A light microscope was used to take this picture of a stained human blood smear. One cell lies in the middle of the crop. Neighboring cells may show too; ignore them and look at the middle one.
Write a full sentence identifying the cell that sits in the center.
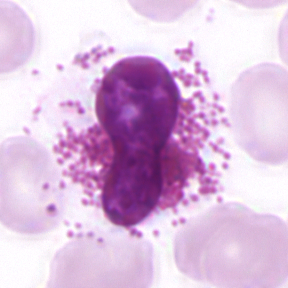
Classification of the middle cell gives an eosinophil.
